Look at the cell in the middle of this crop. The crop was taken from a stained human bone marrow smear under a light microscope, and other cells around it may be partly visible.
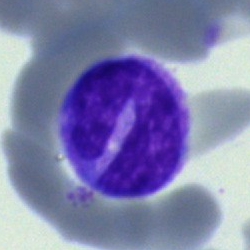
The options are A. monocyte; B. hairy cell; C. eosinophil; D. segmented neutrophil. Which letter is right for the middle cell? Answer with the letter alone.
A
